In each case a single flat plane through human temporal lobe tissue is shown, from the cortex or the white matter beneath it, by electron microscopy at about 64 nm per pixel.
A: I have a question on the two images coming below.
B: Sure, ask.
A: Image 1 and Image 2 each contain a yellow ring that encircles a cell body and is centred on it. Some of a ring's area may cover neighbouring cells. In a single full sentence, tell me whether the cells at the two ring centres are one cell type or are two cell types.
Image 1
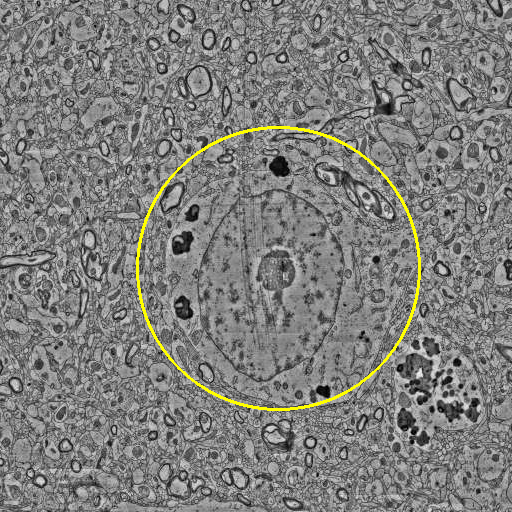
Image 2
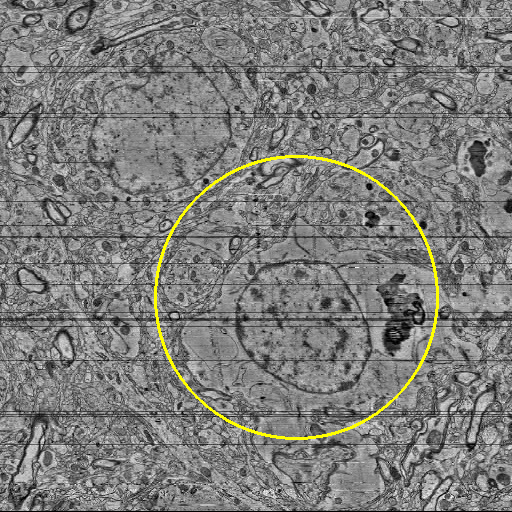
As for the ring-centre cells, the one in Image 1 and the one in Image 2 are two cell types.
